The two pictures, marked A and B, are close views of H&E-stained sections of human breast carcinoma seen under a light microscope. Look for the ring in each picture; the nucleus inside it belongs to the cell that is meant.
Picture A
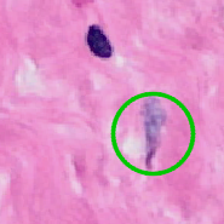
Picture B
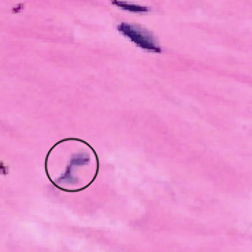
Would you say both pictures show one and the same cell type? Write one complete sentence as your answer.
Yes, both cells are fibroblasts.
